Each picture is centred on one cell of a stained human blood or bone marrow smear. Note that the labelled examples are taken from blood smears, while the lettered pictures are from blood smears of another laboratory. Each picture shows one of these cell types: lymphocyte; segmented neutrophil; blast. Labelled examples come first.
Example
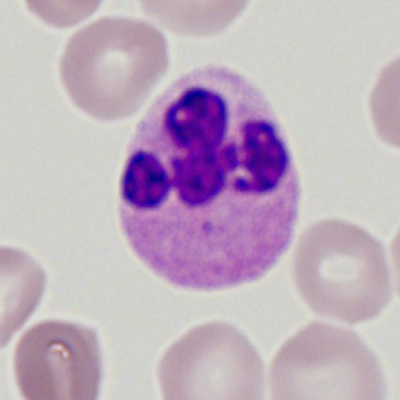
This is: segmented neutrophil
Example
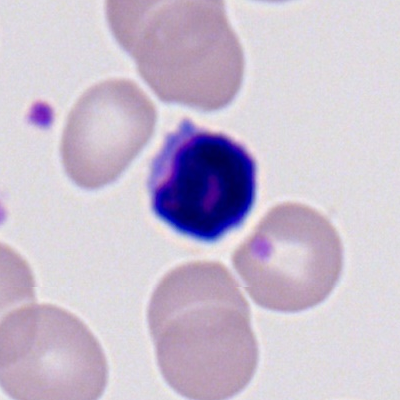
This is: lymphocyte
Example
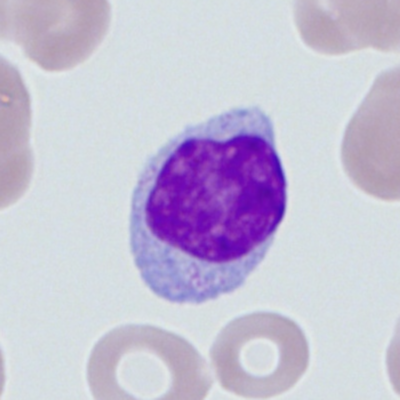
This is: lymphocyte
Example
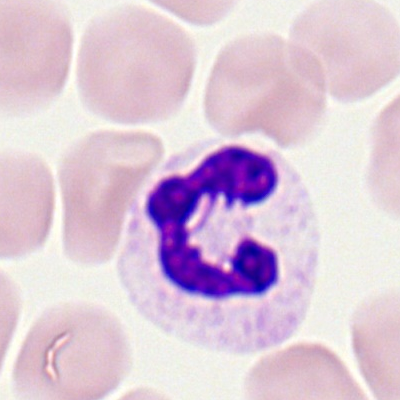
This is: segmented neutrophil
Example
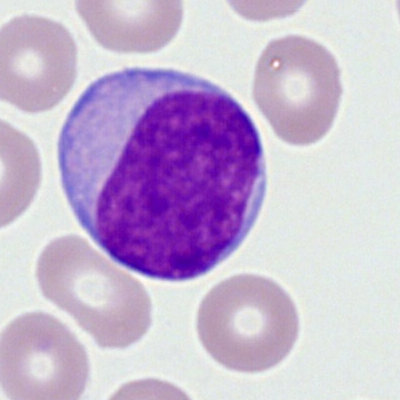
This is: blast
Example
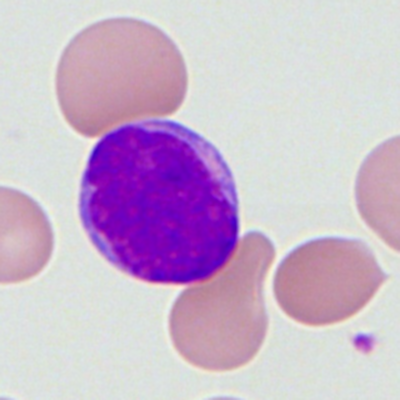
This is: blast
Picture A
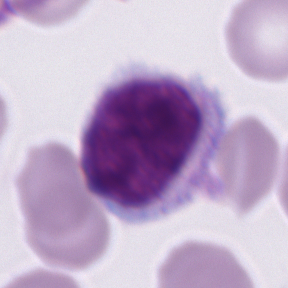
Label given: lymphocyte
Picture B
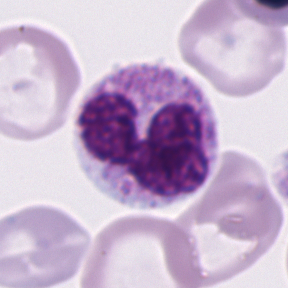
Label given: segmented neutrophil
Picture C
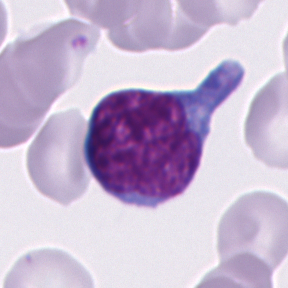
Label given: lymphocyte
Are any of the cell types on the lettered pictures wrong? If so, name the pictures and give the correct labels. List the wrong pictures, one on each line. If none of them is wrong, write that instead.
None of the labels needs changing.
